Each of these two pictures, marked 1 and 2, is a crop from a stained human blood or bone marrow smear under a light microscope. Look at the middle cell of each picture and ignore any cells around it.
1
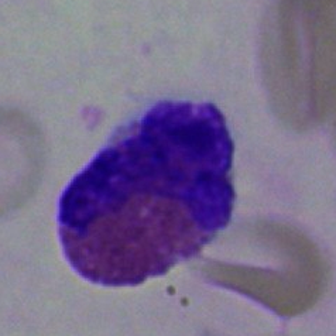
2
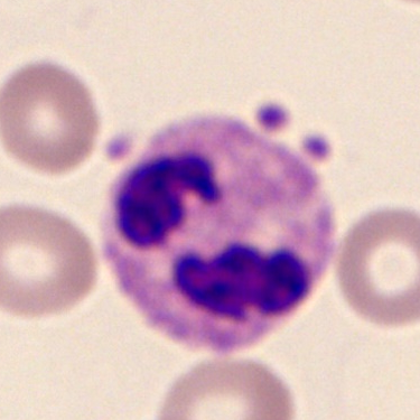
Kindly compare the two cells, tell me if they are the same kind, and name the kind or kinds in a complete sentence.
No, an eosinophil is in crop 1, while a segmented neutrophil is in crop 2.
